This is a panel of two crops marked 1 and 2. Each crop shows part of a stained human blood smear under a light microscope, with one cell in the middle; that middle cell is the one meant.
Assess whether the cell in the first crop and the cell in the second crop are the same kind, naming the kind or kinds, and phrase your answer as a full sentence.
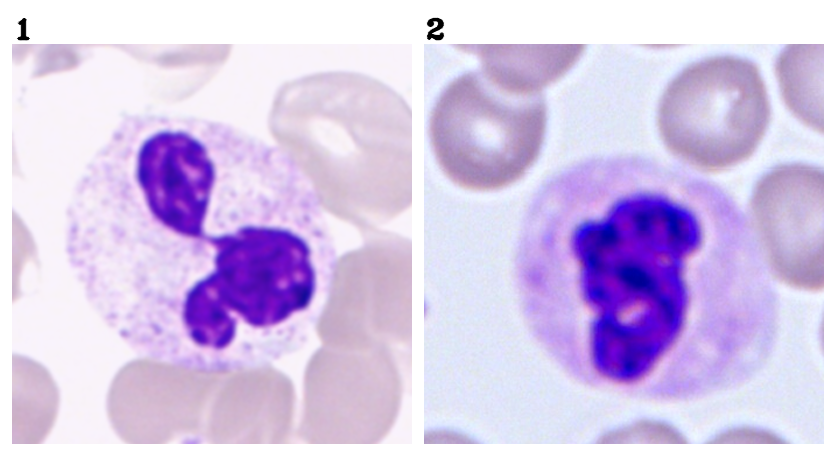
Yes, both crops, not just one, show segmented neutrophils.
